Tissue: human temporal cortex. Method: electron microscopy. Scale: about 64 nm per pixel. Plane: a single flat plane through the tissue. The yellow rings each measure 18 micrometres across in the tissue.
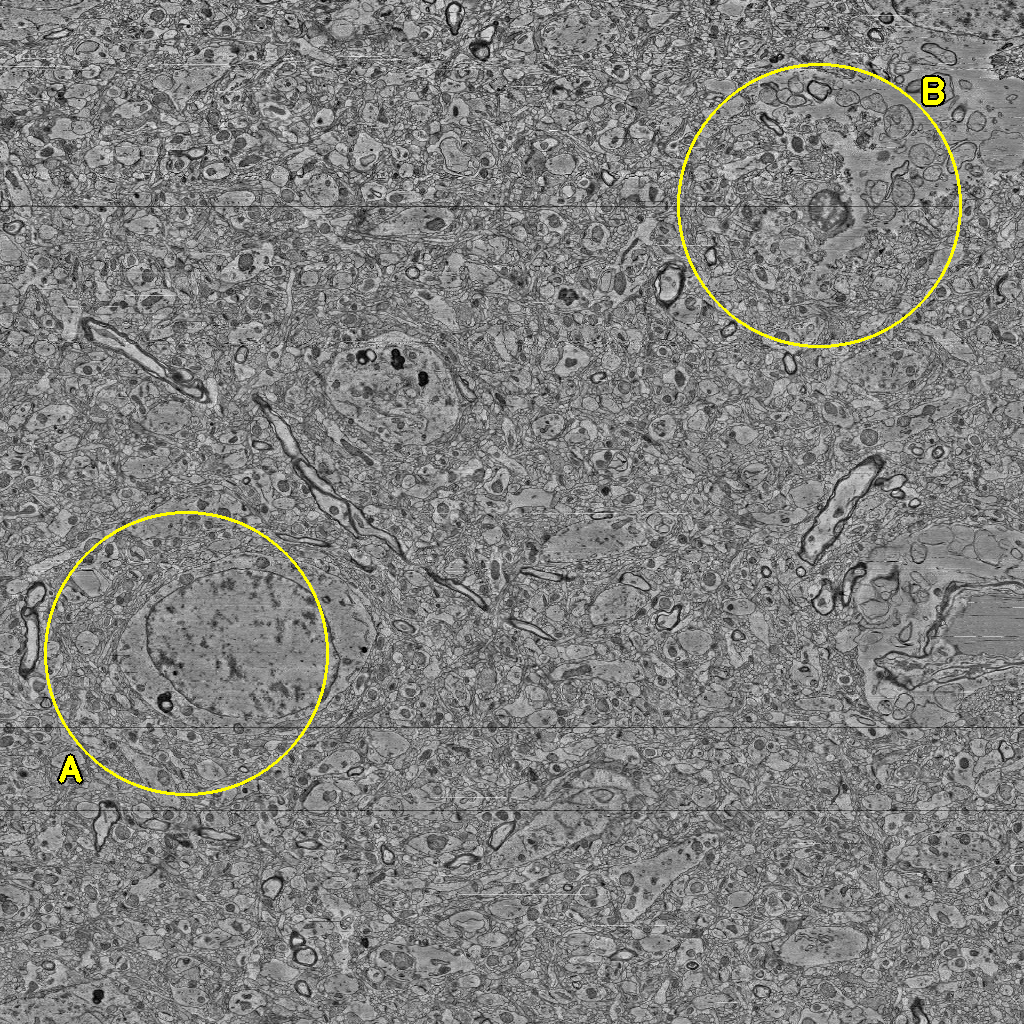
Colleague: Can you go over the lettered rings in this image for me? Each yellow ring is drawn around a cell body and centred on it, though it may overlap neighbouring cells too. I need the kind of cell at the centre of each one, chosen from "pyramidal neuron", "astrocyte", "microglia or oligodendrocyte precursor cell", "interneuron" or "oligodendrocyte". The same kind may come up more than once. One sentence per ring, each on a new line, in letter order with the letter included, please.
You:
Ring A marks the cell body of a pyramidal neuron.
Ring B marks the cell body of an oligodendrocyte.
